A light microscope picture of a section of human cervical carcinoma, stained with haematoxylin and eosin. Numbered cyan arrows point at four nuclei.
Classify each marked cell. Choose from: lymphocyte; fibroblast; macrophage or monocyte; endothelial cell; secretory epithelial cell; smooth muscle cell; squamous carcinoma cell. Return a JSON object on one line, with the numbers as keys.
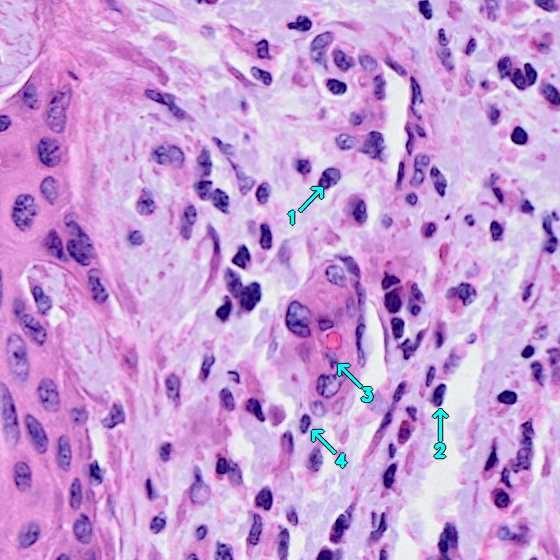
{"1": "lymphocyte", "2": "lymphocyte", "3": "endothelial cell", "4": "lymphocyte"}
